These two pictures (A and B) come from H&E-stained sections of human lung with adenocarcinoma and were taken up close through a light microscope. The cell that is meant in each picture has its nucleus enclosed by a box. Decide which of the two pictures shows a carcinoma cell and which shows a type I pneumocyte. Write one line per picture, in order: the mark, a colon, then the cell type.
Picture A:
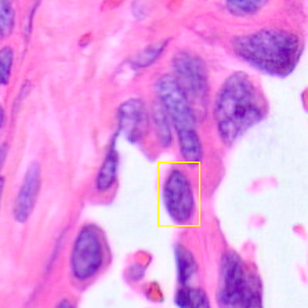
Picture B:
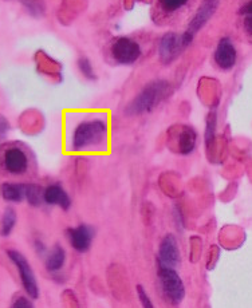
A: carcinoma cell
B: type I pneumocyte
